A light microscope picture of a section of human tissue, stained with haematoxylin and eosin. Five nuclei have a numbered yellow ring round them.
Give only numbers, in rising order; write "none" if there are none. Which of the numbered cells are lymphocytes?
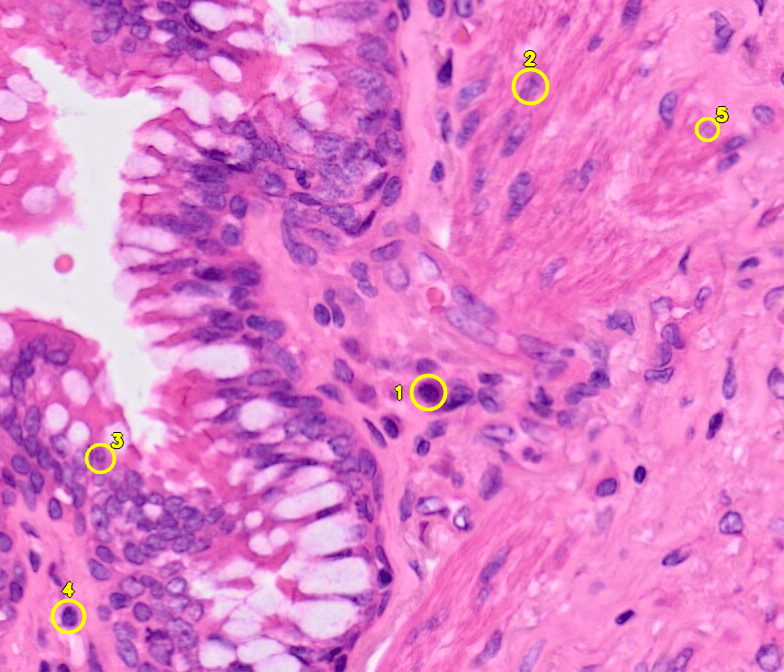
4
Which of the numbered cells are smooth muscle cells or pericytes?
2, 5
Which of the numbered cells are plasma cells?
1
